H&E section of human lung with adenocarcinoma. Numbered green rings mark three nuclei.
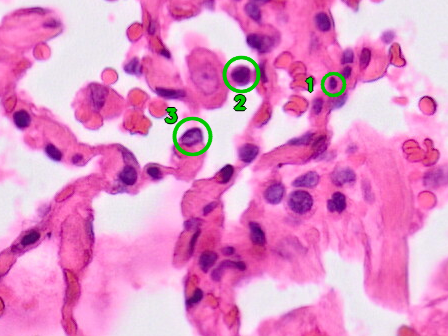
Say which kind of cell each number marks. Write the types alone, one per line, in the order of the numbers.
endothelial cell
lymphocyte
type I pneumocyte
